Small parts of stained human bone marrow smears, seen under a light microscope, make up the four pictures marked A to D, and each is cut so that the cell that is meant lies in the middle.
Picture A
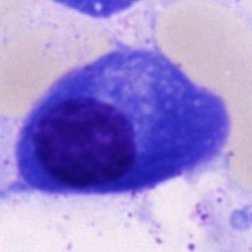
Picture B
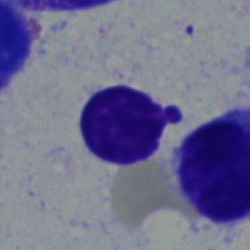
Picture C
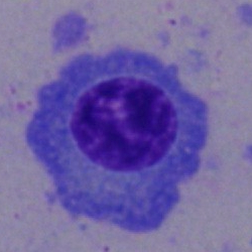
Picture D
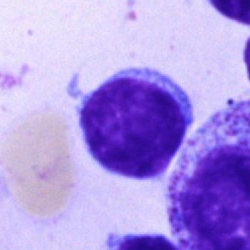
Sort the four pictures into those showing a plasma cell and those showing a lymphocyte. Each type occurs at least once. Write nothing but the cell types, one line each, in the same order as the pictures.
plasma cell
lymphocyte
plasma cell
lymphocyte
